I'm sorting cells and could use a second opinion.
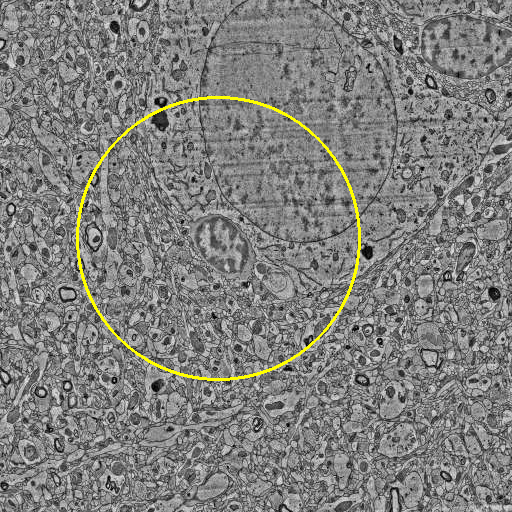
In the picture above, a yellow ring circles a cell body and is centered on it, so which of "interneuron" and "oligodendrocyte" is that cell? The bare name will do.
oligodendrocyte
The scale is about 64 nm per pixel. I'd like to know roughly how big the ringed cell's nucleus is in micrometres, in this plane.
In this plane the nucleus spans approximately 4 by 3 micrometers.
